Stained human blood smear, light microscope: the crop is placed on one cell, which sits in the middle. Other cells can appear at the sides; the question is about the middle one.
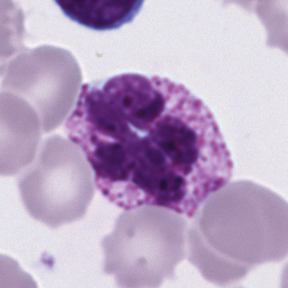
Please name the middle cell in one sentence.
The identification for the central cell is a basophil.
